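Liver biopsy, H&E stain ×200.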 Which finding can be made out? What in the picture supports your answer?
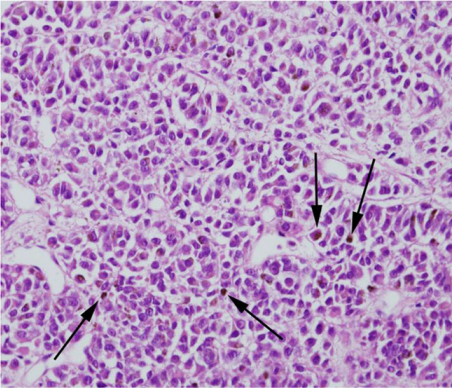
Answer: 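Dense sheets of closely packed cells replace normal tissue architecture. Nuclei are large, dark and vary in size and shape. Scattered brown pigment granules among the cells.
Malignant melanoma.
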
